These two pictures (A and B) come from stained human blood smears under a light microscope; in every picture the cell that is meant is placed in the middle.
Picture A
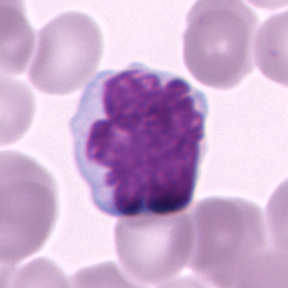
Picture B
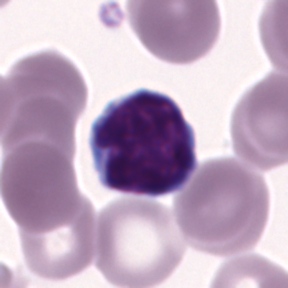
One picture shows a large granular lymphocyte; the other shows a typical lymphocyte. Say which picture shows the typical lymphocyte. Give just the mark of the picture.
B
